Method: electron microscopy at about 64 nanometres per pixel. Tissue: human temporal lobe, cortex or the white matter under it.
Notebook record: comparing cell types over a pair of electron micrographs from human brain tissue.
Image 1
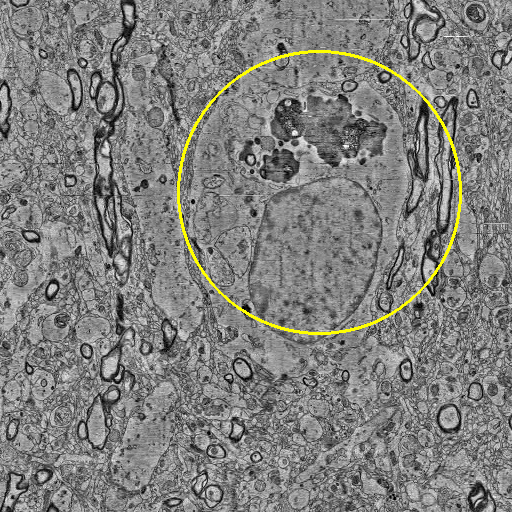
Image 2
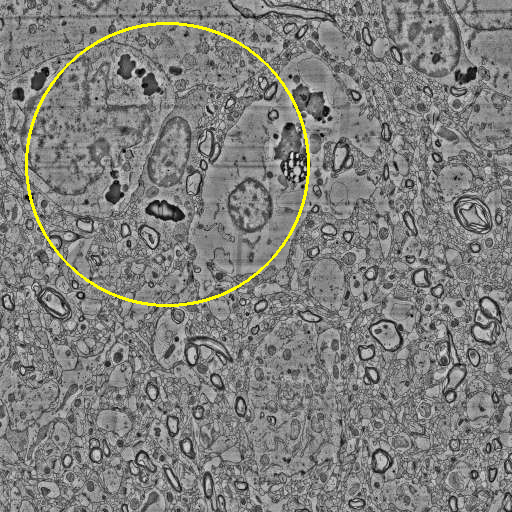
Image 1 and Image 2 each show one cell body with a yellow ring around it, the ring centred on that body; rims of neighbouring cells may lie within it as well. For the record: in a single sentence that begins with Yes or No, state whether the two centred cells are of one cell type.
No, two cell types are found among the centred cells of Image 1 and Image 2.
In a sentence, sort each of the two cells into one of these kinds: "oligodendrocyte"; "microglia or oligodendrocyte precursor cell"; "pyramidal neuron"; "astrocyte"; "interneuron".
The first of the two cells is an astrocyte, and the second is an oligodendrocyte.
